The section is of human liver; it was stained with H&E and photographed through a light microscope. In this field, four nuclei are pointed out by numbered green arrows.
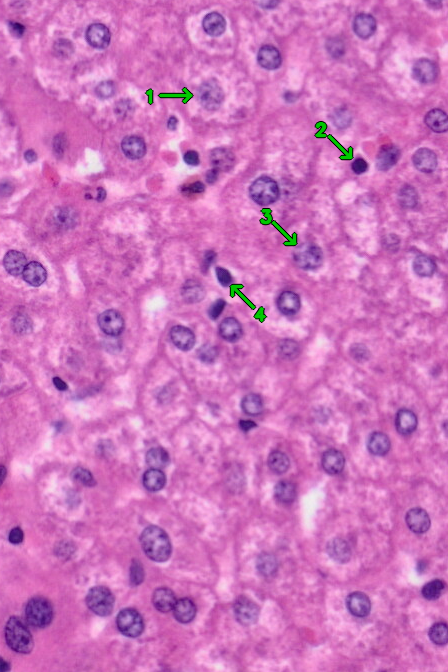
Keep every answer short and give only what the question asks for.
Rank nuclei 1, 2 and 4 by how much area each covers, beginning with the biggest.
1, 4, 2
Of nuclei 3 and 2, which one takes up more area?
3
